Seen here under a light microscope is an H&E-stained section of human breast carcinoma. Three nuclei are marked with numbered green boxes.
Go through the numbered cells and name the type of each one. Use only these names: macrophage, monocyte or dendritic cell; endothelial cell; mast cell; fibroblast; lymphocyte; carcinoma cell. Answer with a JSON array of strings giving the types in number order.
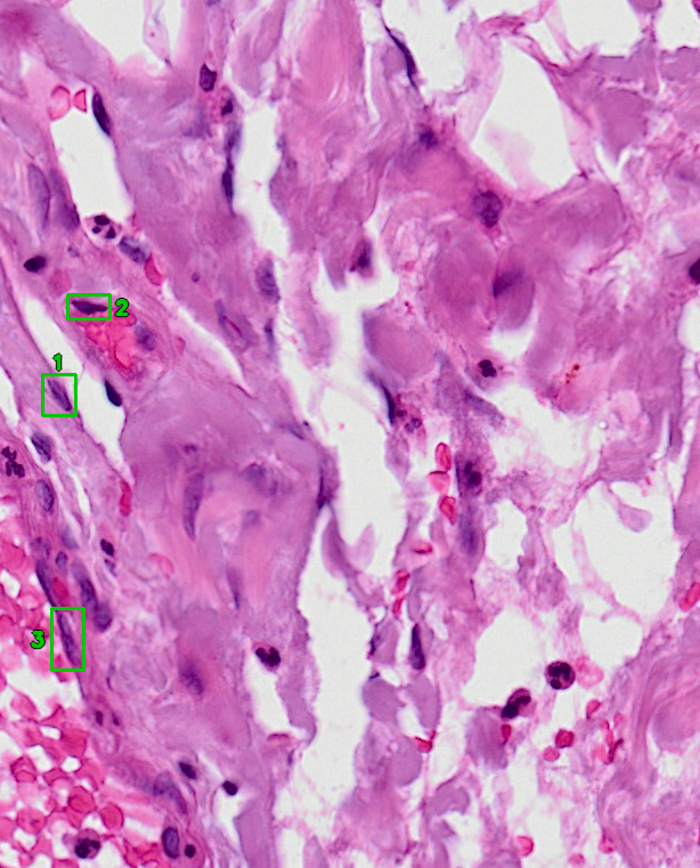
["fibroblast", "endothelial cell", "endothelial cell"]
